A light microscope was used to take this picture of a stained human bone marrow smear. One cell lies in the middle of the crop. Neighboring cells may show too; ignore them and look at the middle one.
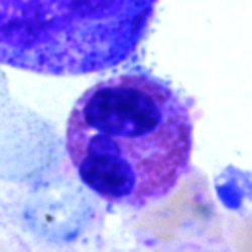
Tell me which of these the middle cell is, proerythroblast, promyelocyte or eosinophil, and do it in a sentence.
The cell centred in this crop is categorized as an eosinophil.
